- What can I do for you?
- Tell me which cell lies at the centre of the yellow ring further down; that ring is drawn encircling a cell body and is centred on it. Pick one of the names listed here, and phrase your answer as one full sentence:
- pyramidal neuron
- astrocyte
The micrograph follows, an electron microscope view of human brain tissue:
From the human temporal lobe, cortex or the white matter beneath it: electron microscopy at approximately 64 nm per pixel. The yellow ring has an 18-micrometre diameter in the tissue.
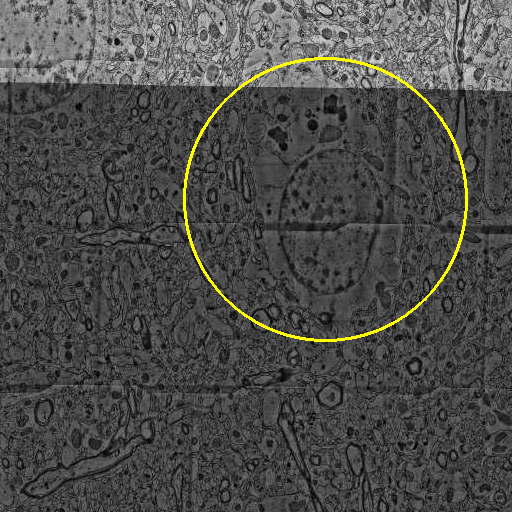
The cell whose body lies at the centre of the yellow ring is an astrocyte.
